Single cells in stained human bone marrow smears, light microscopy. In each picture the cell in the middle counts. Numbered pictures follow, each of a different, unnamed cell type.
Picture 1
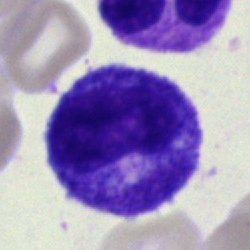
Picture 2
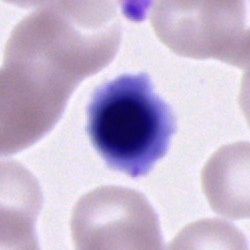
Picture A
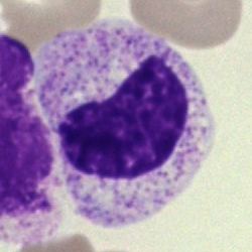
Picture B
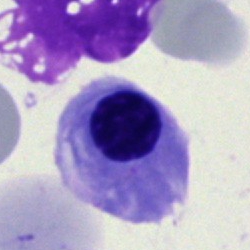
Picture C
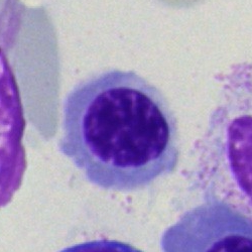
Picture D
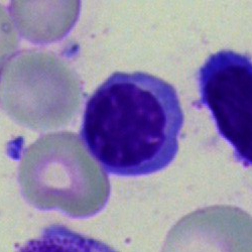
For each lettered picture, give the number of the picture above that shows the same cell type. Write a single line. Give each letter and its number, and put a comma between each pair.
A 1, B 2, C 2, D 2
